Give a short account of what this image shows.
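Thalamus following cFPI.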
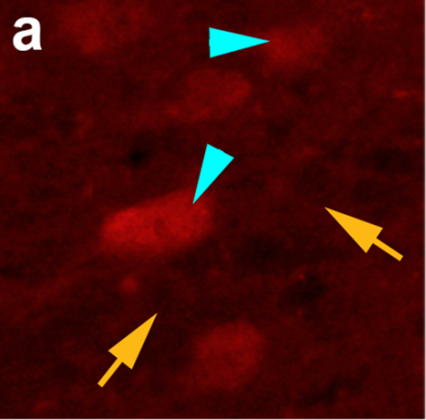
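The somata are scattered singly, with wide stretches of finely mottled parenchyma between them. The cell bodies look smooth and evenly filled with label, and their edges are soft rather than sharp. Small dark specks are dotted through the surrounding tissue.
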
